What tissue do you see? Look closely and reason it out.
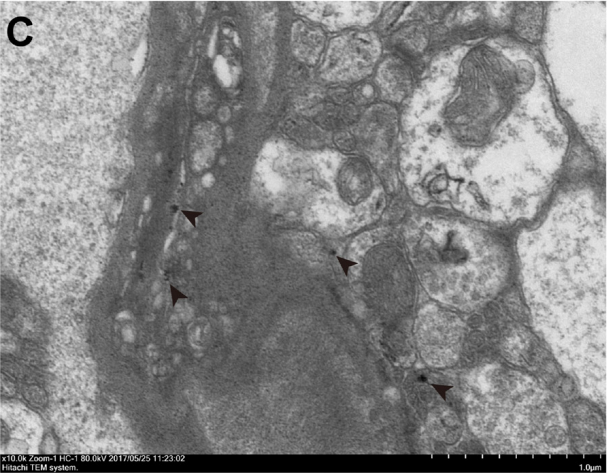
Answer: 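Many small membrane-bound profiles packed tightly together. Profiles contain mitochondria and small vesicles. No extracellular matrix between the profiles. That points to this answer: neuropil.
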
